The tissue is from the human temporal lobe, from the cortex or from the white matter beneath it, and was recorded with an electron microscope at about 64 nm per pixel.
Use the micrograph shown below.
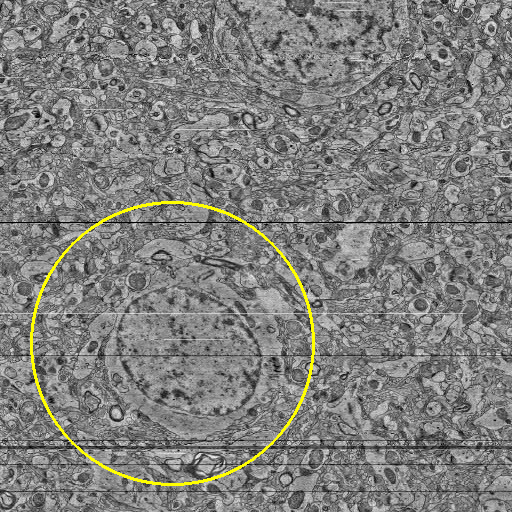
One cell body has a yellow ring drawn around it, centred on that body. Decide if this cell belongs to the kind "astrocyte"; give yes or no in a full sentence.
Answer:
Yes, the cell lying at the ring's centre in the micrograph is of the kind given.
